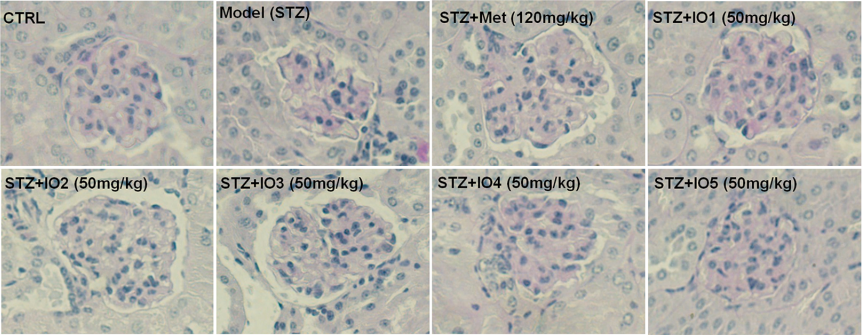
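Inside each glomerulus the capillary tuft shows scattered nuclei set in a faintly pink background between the loops; a clear space and a thin capsule surround the tuft. Tubules with rounded lining cells and pale cytoplasm fill the rest of the field. The amount of pink material within the tufts varies between tiles, some looking paler and others more densely tinted.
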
